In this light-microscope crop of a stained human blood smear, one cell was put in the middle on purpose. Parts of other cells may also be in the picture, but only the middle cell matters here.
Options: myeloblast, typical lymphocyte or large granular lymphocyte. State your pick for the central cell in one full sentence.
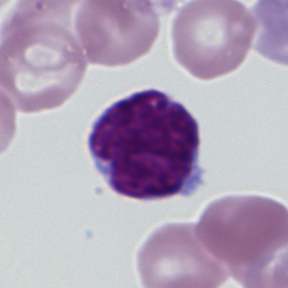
The cell in the exact centre of the crop is a typical lymphocyte.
